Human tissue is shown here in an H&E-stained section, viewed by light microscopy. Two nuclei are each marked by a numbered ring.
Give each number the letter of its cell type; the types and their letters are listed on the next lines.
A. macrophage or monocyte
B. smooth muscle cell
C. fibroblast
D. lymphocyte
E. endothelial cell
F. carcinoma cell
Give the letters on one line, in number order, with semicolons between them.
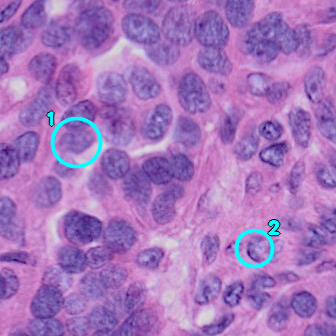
F; C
